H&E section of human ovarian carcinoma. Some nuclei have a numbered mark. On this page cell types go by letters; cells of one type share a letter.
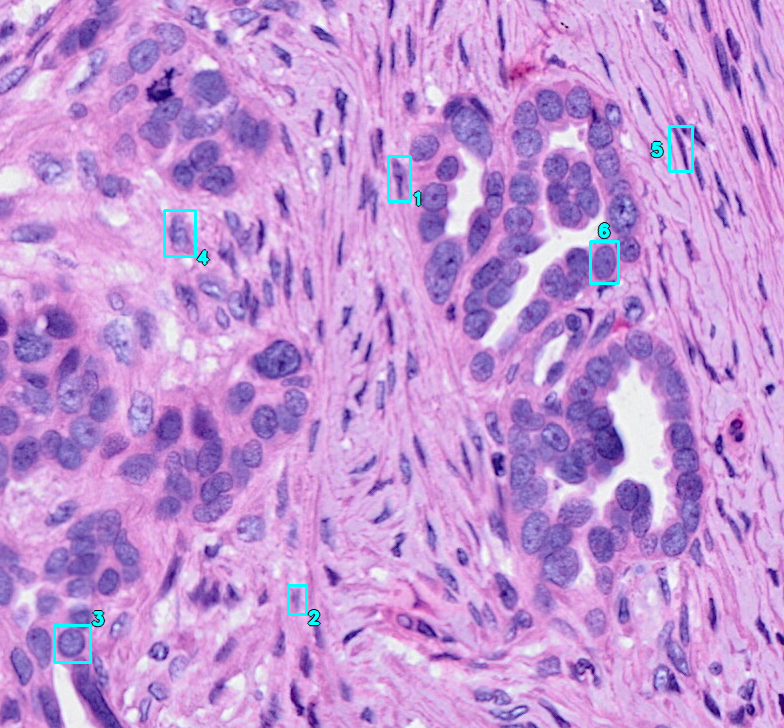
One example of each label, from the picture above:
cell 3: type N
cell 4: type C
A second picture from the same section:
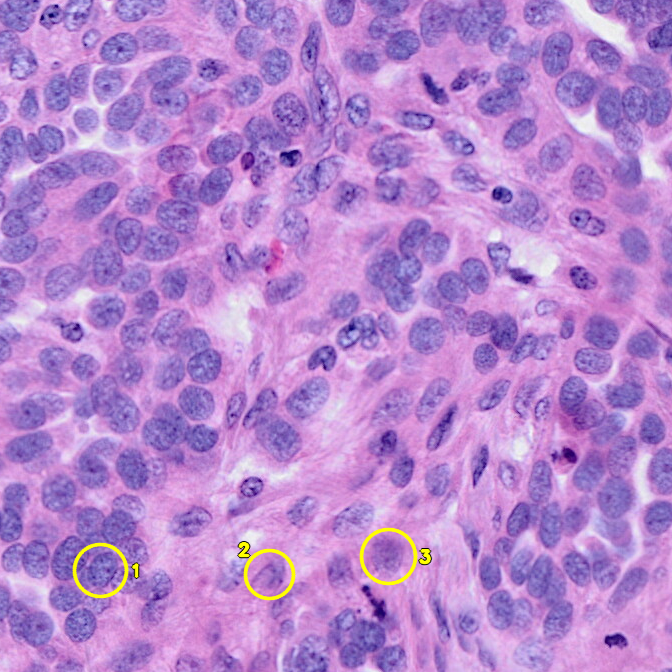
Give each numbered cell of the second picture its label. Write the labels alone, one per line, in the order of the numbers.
type N
type C
type C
